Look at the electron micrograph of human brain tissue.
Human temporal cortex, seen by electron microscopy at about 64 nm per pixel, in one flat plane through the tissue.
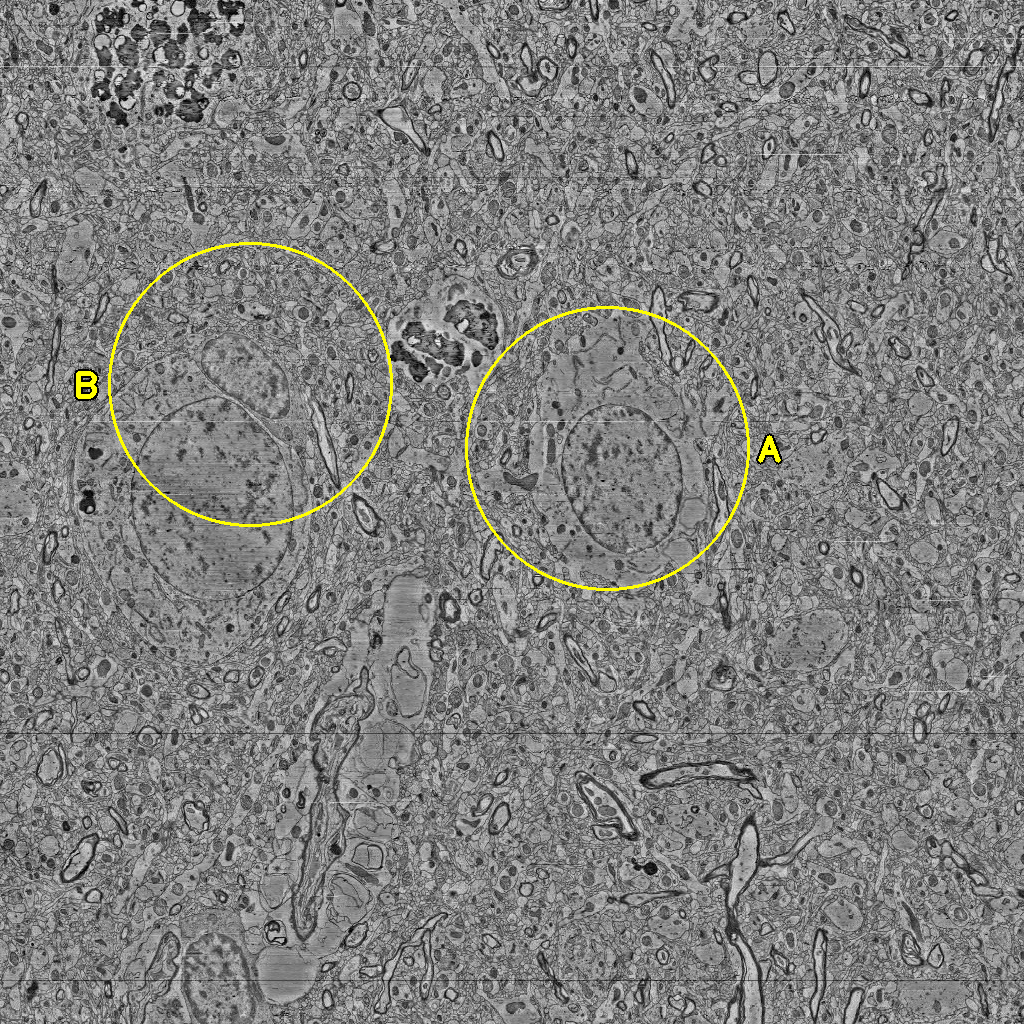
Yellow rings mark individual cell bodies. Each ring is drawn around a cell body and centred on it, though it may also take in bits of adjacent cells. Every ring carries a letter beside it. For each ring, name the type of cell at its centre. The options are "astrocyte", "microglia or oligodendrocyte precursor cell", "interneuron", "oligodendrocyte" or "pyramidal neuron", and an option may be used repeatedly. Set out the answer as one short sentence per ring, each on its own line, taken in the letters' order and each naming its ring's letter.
Ring A is drawn around an astrocyte.
Ring B is drawn around an oligodendrocyte.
